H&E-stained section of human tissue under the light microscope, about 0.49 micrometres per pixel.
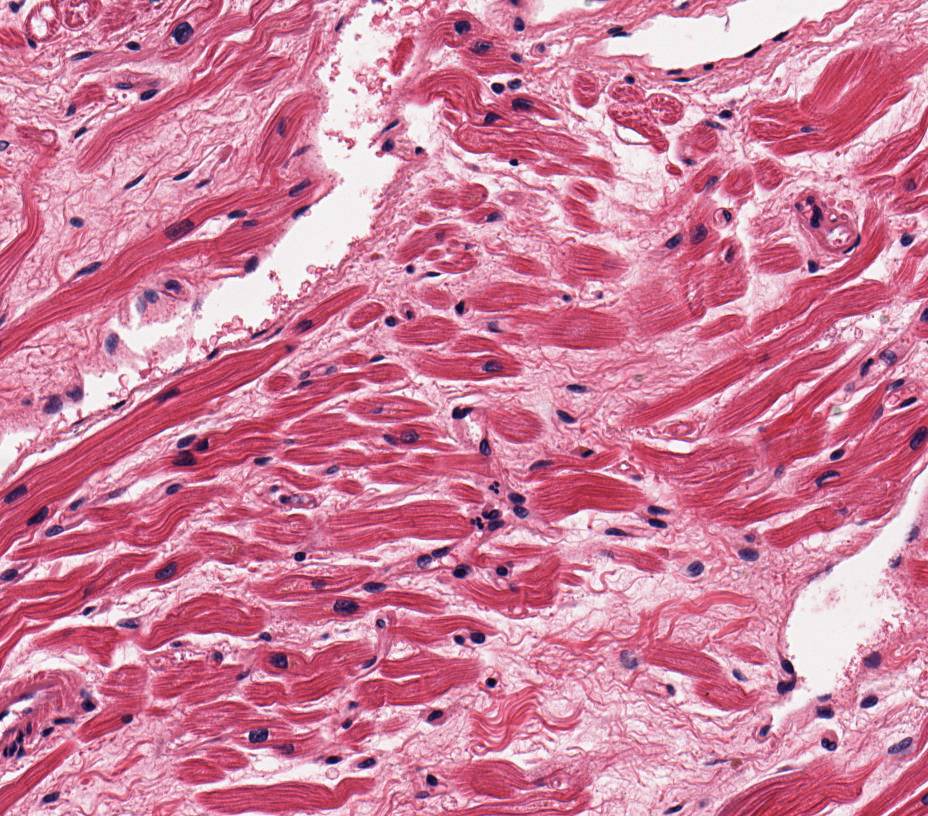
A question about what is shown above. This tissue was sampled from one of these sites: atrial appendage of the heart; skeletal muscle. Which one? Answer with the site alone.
atrial appendage of the heart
